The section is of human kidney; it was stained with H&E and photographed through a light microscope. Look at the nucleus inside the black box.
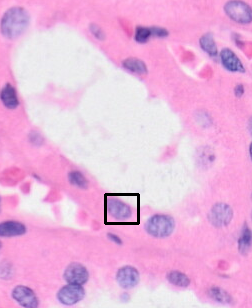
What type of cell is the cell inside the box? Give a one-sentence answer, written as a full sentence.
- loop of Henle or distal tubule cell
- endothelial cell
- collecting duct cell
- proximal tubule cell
Recorded by type, the cell inside the box is a loop of Henle or distal tubule cell.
